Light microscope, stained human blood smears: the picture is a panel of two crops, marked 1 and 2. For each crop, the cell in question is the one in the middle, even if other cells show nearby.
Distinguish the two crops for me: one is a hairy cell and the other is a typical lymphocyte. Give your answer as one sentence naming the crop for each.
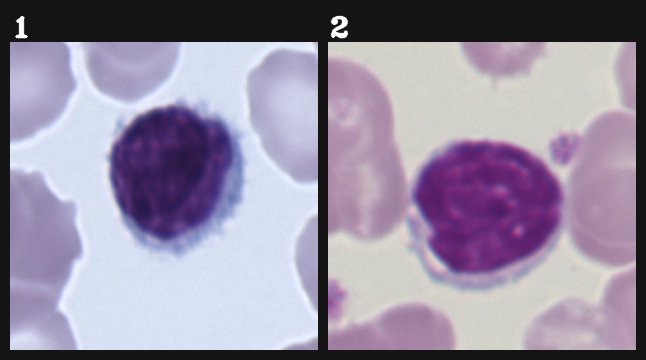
Crop 2 is a typical lymphocyte, while crop 1 is a hairy cell.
